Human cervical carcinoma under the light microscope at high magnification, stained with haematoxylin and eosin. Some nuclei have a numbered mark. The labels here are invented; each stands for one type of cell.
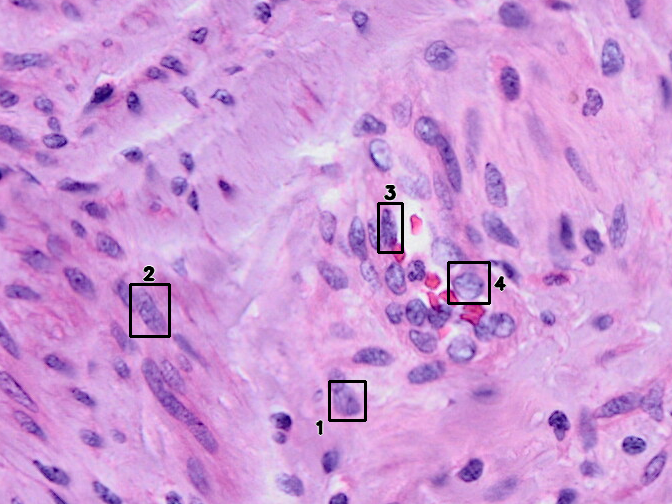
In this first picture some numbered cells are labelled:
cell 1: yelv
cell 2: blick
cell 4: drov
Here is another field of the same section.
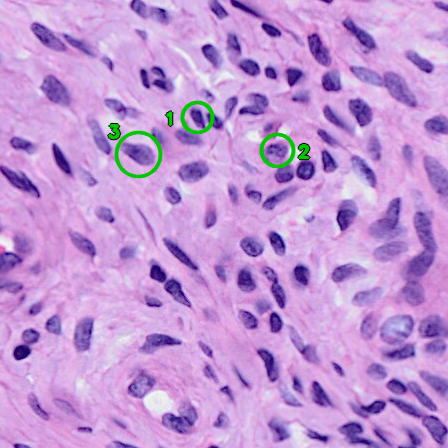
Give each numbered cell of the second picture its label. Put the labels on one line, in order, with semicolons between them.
yelv; drov; yelv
